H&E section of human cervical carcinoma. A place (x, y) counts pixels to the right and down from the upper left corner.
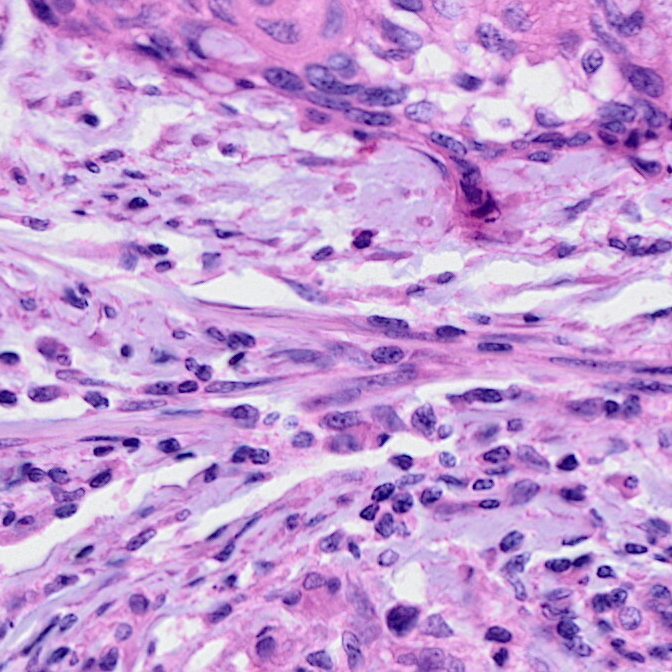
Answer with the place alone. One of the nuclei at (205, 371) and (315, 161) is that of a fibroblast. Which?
(315, 161)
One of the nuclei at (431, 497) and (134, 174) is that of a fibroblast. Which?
(134, 174)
